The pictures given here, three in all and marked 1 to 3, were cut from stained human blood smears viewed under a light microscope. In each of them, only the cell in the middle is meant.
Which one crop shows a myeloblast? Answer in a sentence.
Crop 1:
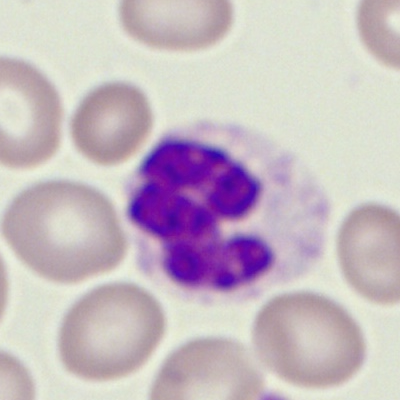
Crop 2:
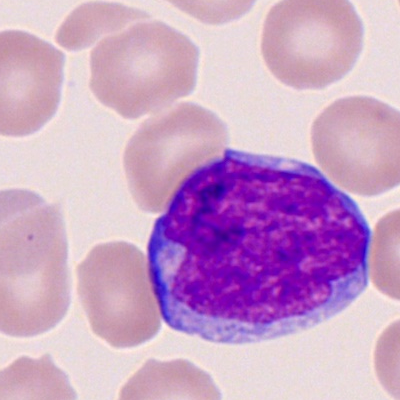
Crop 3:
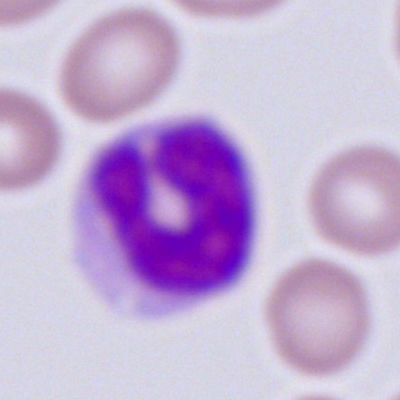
Crop 2 is the crop that shows a myeloblast in its middle.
